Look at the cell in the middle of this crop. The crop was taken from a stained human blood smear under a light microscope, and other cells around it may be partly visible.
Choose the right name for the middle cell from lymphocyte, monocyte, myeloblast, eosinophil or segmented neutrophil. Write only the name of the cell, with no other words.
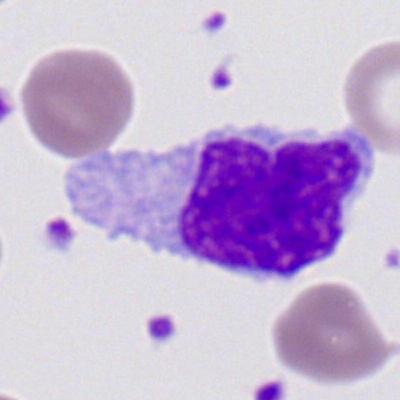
monocyte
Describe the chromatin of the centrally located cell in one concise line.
Here the nuclear chromatin is coarsely clumped.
